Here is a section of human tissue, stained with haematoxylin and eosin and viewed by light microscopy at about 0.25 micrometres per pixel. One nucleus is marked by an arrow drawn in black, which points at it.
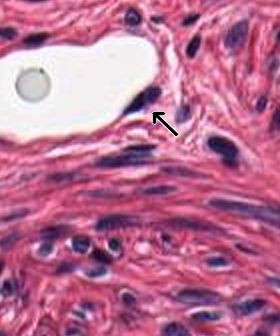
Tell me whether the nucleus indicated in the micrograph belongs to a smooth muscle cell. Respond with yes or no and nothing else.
no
